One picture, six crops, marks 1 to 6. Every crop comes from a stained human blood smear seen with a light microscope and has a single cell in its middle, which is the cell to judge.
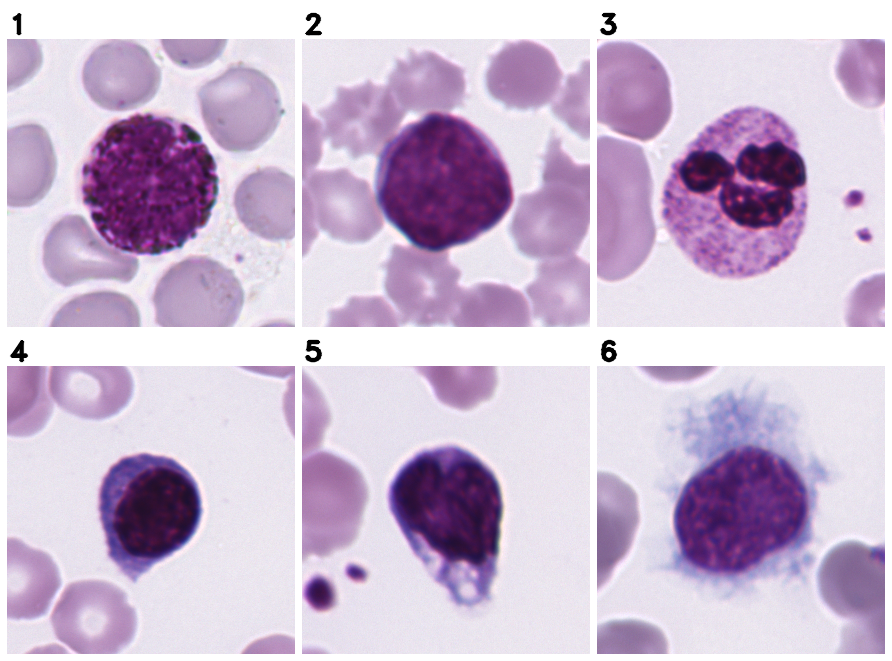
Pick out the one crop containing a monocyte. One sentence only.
Crop 5 is the one that shows a monocyte.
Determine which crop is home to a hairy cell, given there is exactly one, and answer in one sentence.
The crop marked 6 is the one in which a hairy cell is shown.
